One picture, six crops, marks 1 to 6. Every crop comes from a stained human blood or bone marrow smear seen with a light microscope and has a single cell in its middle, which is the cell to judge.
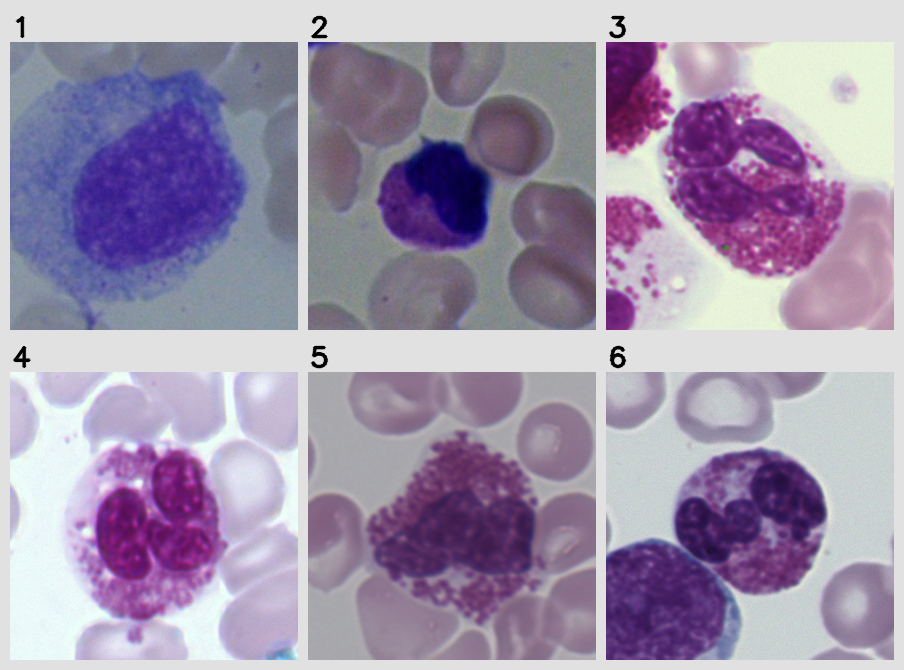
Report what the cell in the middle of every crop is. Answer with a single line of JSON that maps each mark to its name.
{"1": "myelocyte", "2": "eosinophil", "3": "eosinophil", "4": "eosinophil", "5": "eosinophil", "6": "eosinophil"}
